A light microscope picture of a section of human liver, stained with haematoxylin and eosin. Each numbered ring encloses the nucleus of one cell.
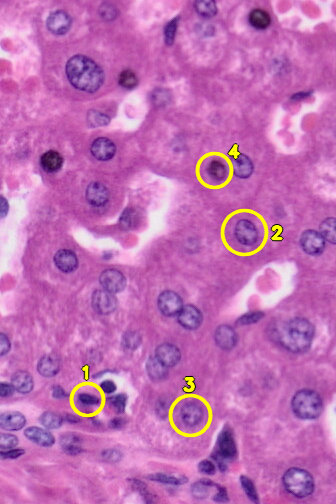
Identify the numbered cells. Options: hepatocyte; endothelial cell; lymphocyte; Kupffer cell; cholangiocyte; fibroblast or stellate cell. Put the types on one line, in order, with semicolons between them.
fibroblast or stellate cell; hepatocyte; hepatocyte; hepatocyte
